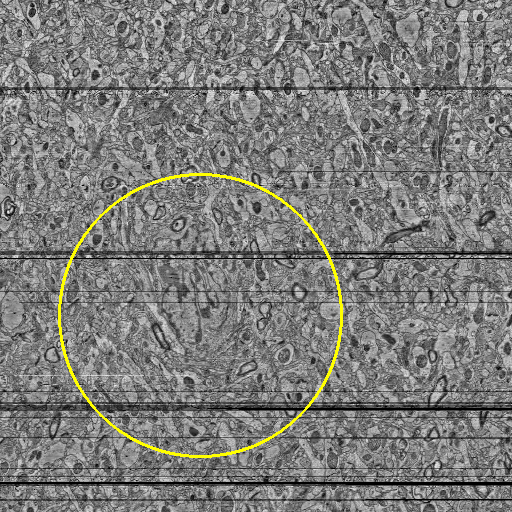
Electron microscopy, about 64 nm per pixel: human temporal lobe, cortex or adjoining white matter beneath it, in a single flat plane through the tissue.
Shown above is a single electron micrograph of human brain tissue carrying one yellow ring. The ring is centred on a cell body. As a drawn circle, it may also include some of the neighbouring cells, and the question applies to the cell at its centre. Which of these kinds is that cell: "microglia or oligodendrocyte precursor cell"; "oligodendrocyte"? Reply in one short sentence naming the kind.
The cell marked by the ring is a microglial cell or oligodendrocyte precursor cell.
